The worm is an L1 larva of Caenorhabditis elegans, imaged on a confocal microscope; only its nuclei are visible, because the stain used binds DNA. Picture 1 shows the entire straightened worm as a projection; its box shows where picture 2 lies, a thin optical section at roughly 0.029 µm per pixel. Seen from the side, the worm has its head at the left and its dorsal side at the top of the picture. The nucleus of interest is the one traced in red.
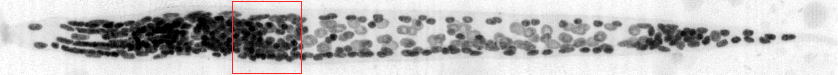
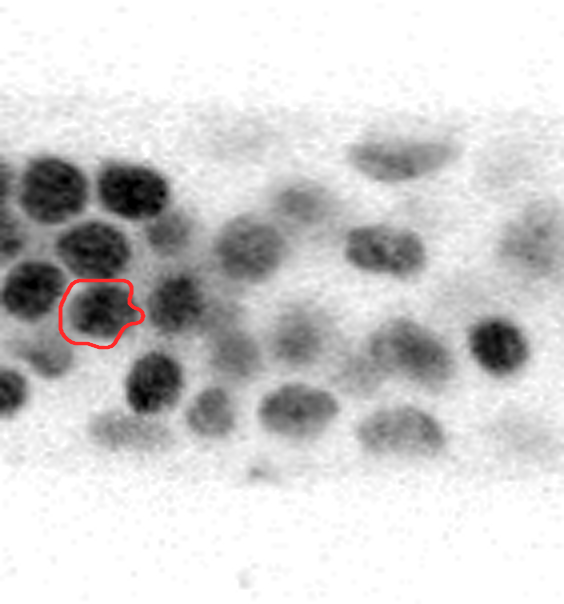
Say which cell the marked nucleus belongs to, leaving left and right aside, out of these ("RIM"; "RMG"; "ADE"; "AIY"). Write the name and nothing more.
RIM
